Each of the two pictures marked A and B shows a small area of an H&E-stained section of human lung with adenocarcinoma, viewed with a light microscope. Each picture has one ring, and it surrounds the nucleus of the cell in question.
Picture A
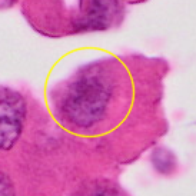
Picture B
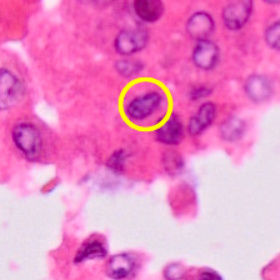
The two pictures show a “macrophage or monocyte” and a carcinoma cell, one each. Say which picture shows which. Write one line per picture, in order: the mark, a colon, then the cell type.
A: carcinoma cell
B: macrophage or monocyte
